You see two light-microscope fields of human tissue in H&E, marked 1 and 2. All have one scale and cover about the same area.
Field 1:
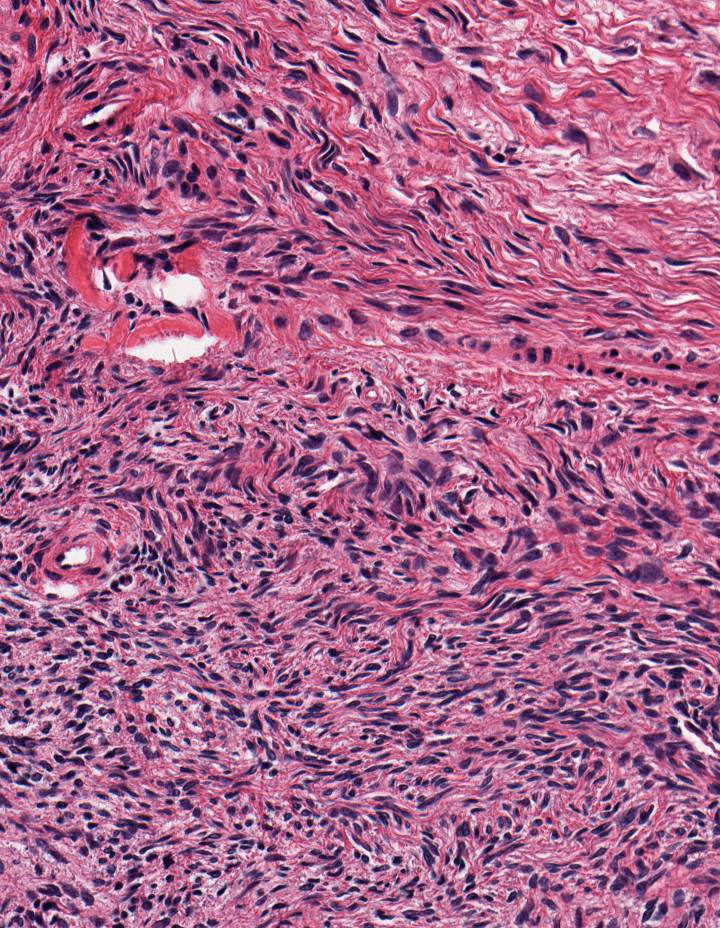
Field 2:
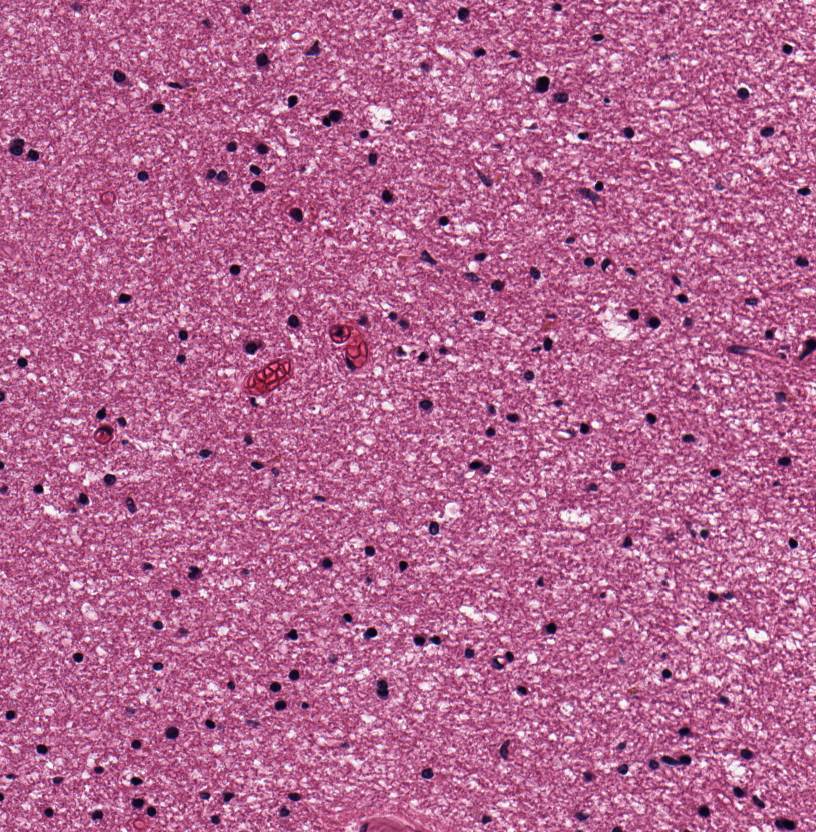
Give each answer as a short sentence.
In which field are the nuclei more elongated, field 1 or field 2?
It is field 1 whose nuclei are the more elongated.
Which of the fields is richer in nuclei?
More nuclei lie in field 1 than in field 2.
